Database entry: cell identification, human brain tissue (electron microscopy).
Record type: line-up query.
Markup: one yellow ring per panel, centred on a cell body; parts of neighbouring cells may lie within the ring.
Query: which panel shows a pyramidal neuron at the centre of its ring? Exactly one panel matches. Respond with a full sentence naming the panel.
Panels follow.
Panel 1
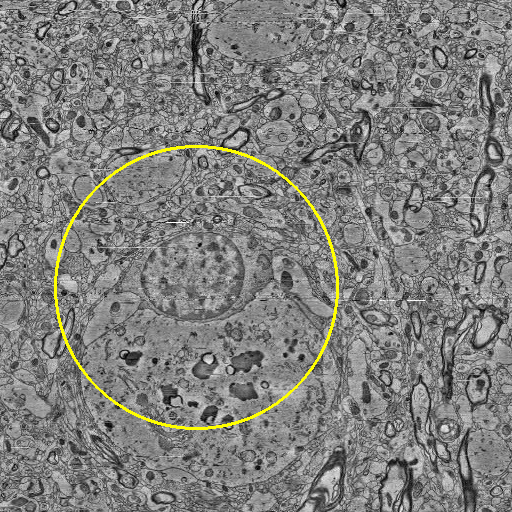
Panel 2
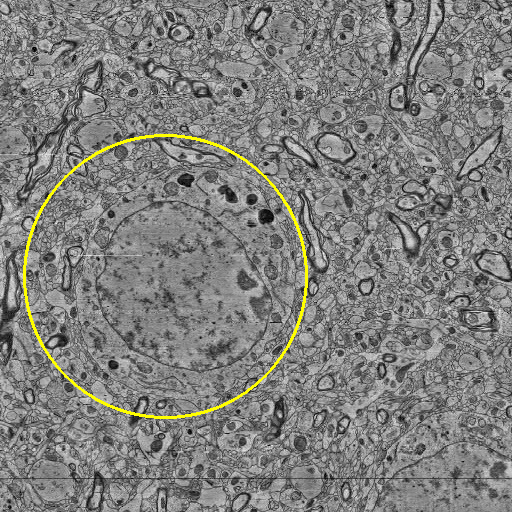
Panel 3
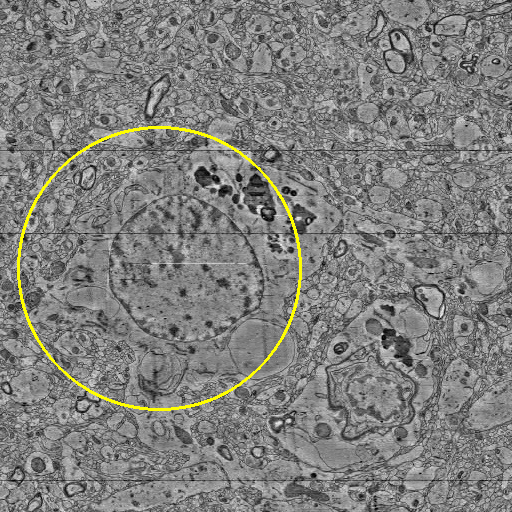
Panel 2 shows it at the centre of the ring.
